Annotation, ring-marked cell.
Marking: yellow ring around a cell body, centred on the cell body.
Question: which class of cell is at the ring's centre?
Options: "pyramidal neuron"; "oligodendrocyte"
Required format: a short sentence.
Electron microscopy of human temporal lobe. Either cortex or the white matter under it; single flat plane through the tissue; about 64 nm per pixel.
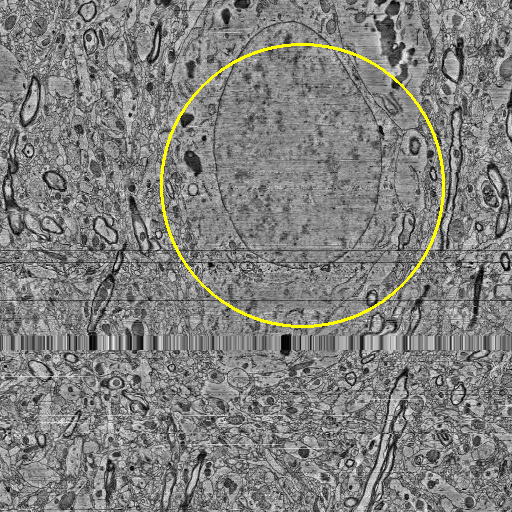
At the ring's centre is a pyramidal neuron.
